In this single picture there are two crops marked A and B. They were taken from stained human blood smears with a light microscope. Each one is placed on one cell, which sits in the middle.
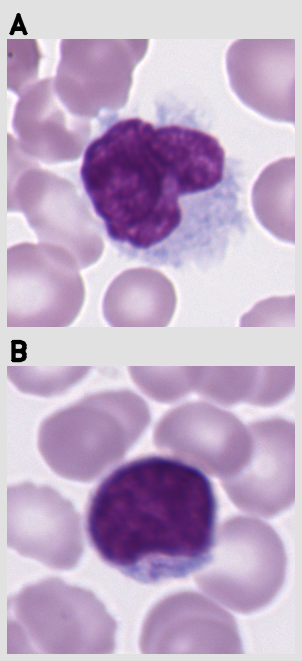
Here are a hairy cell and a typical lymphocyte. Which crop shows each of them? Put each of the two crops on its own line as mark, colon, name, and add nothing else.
A: hairy cell
B: typical lymphocyte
